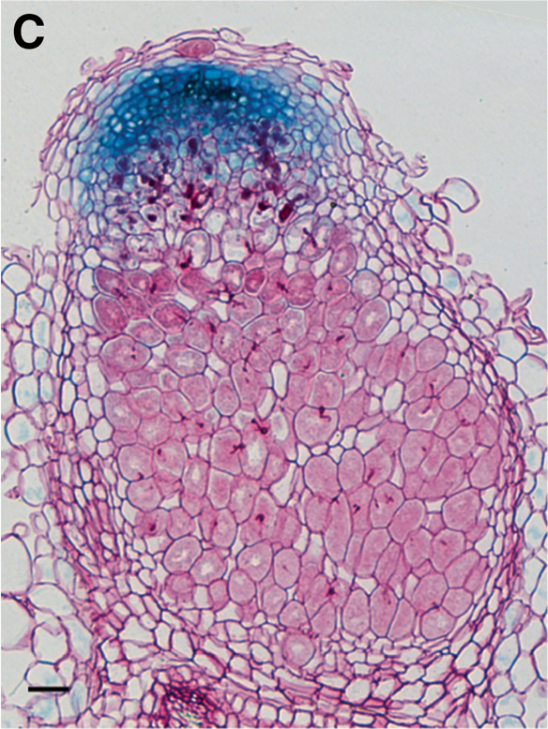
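This is a lengthwise section through a mature root nodule, an oval organ rising from the root with a vascular strand entering at its base. At the tip lies a cap of small, tightly packed cells, which are stained intensely blue. Just below them, scattered cells carry dark purple deposits. Most of the body is filled with large, rounded cells whose cytoplasm is packed with pink-stained granular content. A few layers of smaller, flattened, paler cells wrap the whole organ at its periphery.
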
